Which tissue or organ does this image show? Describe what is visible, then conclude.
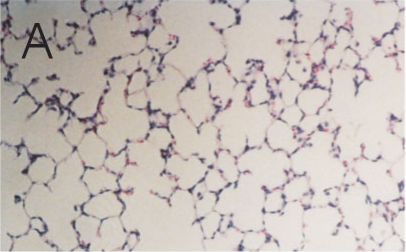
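Many thin-walled, rounded air spaces fill the field. The walls between the spaces are thin and carry scattered purple nuclei. The answer: lungs.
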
